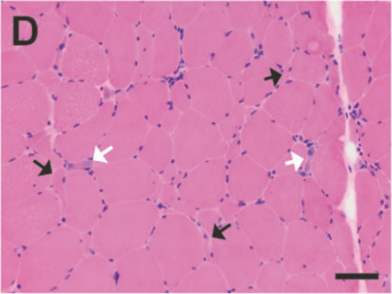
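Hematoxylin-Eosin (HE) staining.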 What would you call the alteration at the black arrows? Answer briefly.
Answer: angular fibers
